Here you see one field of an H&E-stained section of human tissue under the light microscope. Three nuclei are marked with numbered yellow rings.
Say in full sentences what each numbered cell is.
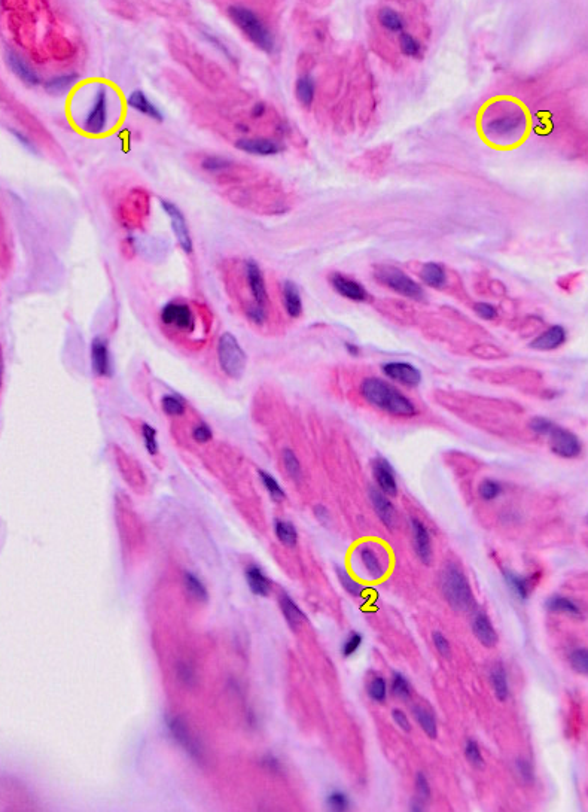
Cell 1 is a fibroblast. Cells 2 and 3 are smooth muscle cells.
